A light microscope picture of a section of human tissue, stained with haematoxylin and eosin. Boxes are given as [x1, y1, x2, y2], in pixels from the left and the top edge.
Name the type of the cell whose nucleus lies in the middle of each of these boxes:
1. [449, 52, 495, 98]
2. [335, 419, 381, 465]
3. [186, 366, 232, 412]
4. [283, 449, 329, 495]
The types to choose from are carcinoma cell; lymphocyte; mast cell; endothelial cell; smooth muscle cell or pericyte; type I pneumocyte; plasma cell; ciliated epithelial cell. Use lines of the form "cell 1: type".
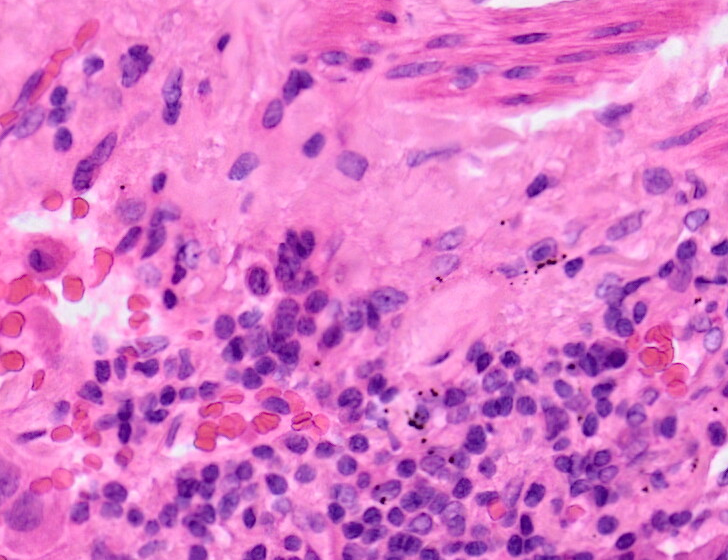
cell 1: smooth muscle cell or pericyte
cell 2: lymphocyte
cell 3: lymphocyte
cell 4: lymphocyte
